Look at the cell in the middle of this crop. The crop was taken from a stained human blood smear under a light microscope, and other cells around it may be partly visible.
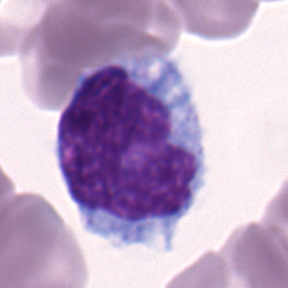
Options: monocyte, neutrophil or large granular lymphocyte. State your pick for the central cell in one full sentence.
The middle of this crop is occupied by a monocyte.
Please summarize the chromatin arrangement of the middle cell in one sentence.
If you check the nucleus, you will find the chromatin coarsely clumped.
